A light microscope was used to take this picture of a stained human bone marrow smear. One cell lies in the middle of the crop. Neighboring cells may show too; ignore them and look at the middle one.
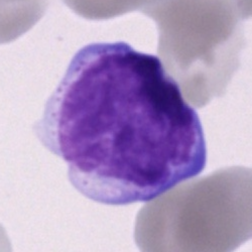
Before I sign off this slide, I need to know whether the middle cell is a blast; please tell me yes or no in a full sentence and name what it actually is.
Yes, the cell at the centre is designated a blast.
